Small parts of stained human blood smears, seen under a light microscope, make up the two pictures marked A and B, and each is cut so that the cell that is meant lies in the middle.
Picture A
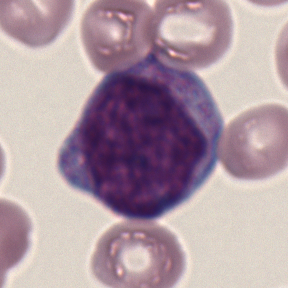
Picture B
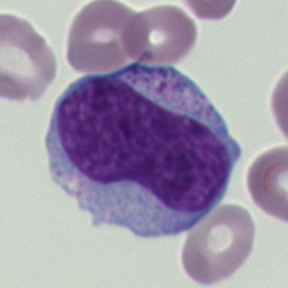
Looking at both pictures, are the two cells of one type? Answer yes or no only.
yes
